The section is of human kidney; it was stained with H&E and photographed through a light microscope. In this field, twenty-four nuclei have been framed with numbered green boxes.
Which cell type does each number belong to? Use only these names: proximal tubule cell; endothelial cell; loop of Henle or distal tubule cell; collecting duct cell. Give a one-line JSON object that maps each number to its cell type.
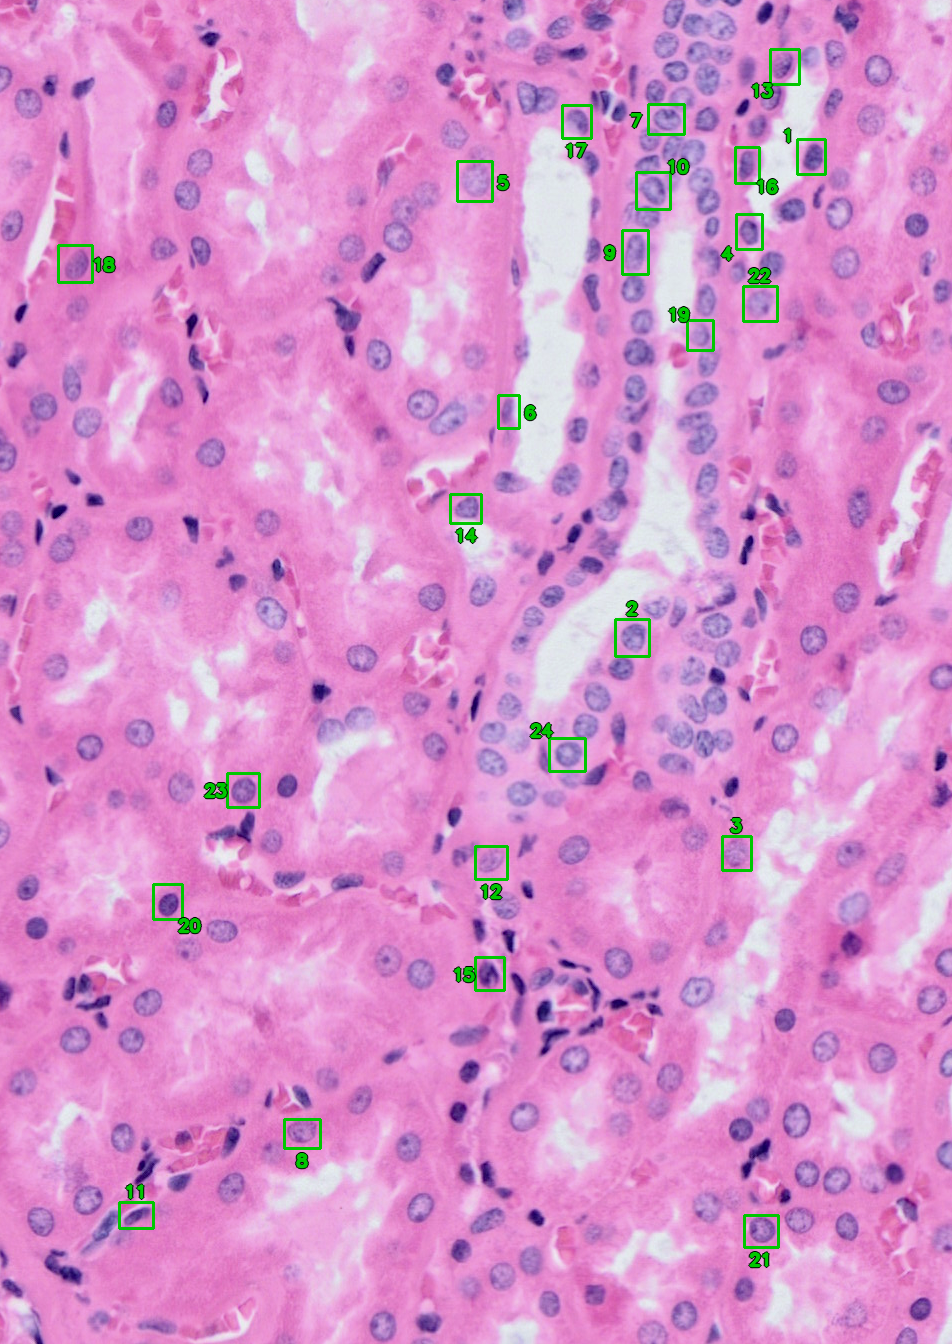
{"1": "loop of Henle or distal tubule cell", "2": "collecting duct cell", "3": "proximal tubule cell", "4": "loop of Henle or distal tubule cell", "5": "proximal tubule cell", "6": "loop of Henle or distal tubule cell", "7": "collecting duct cell", "8": "proximal tubule cell", "9": "collecting duct cell", "10": "collecting duct cell", "11": "endothelial cell", "12": "loop of Henle or distal tubule cell", "13": "loop of Henle or distal tubule cell", "14": "loop of Henle or distal tubule cell", "15": "loop of Henle or distal tubule cell", "16": "loop of Henle or distal tubule cell", "17": "loop of Henle or distal tubule cell", "18": "proximal tubule cell", "19": "collecting duct cell", "20": "proximal tubule cell", "21": "proximal tubule cell", "22": "loop of Henle or distal tubule cell", "23": "proximal tubule cell", "24": "collecting duct cell"}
